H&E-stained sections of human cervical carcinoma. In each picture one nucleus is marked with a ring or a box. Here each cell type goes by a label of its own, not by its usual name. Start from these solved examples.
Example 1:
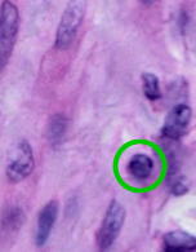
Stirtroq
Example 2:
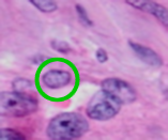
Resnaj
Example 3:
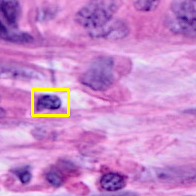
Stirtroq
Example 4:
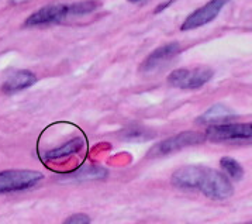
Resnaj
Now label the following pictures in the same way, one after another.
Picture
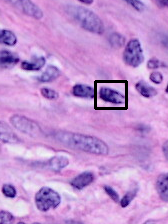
Stirtroq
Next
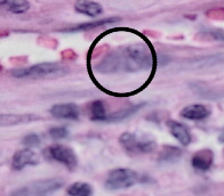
Resnaj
